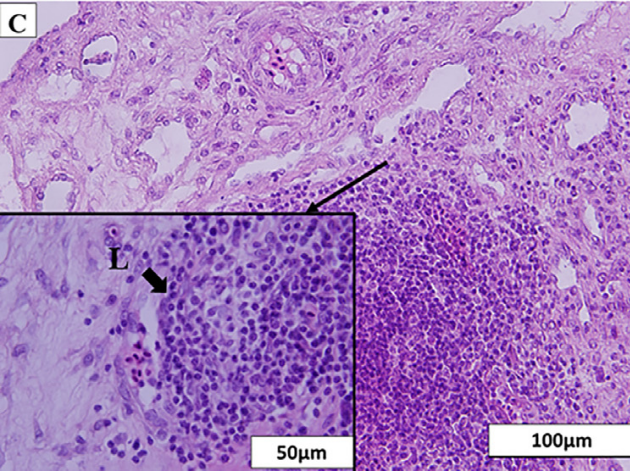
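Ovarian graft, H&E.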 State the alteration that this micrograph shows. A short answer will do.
Inflammatory response.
